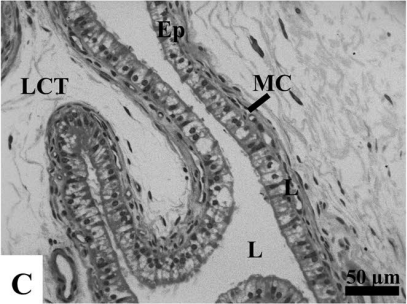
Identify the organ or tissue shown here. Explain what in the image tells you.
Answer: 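Efferent ductules. Ducts with an irregular, folded luminal outline. Thin layer of flattened cells around the epithelium, set in loose connective tissue.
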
